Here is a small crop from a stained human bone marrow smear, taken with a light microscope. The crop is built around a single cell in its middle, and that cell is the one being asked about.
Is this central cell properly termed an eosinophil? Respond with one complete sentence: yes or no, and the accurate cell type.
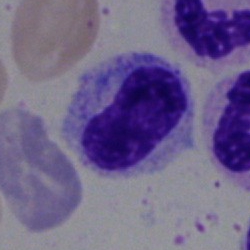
No, the centre cell is not an eosinophil but a metamyelocyte.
